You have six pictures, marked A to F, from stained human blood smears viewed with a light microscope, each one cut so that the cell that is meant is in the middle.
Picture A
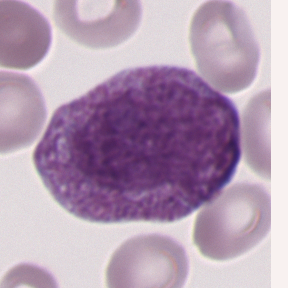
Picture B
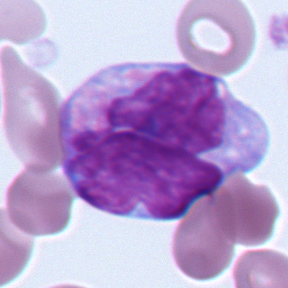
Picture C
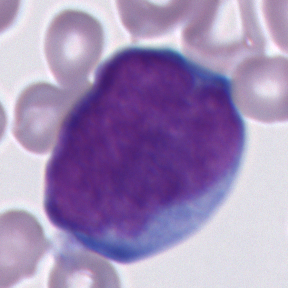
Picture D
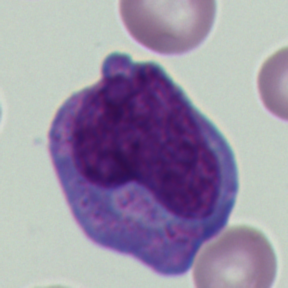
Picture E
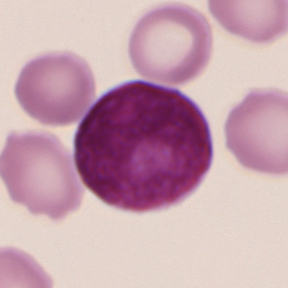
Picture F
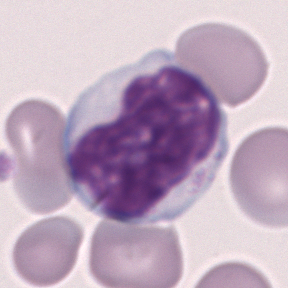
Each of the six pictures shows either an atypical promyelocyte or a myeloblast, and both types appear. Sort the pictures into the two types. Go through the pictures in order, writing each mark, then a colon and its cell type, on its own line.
A: atypical promyelocyte
B: atypical promyelocyte
C: myeloblast
D: atypical promyelocyte
E: myeloblast
F: myeloblast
